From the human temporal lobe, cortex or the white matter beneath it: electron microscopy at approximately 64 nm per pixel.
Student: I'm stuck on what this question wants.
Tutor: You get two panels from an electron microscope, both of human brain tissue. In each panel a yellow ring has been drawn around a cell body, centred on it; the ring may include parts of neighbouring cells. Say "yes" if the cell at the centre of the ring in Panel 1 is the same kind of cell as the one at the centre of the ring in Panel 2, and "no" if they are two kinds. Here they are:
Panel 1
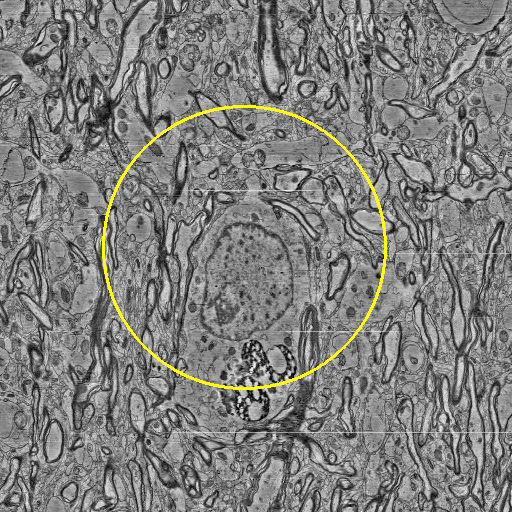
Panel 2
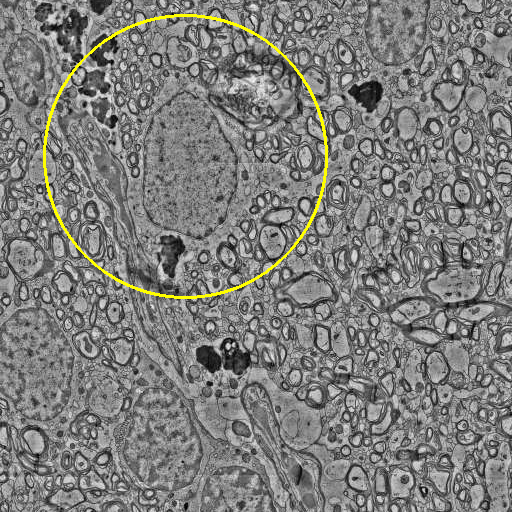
yes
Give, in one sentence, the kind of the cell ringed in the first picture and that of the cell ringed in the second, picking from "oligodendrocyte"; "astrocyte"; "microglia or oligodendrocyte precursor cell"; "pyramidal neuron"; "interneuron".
In each picture the ringed cell is an astrocyte.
